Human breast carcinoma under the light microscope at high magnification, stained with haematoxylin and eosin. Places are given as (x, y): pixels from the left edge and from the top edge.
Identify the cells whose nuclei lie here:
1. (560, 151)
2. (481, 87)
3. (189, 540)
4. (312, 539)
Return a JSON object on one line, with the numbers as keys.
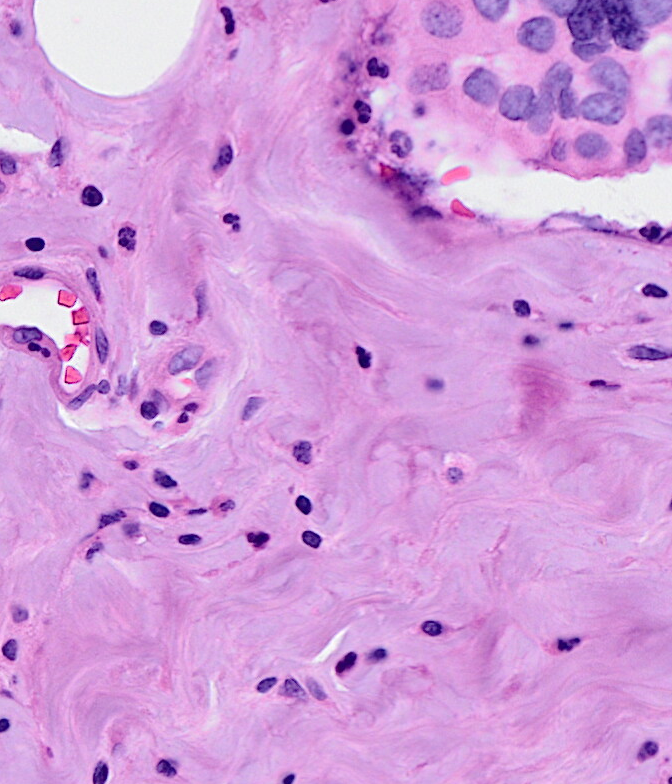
{"1": "carcinoma cell", "2": "carcinoma cell", "3": "lymphocyte", "4": "lymphocyte"}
